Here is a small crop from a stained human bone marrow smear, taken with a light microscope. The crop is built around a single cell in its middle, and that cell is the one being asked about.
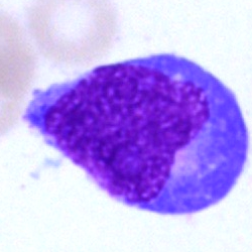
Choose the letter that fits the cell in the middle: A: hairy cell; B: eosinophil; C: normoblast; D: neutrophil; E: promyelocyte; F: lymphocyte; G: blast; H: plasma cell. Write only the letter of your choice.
G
